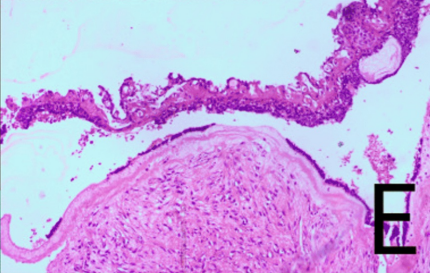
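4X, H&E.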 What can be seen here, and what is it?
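A strip of cystic epithelium runs across the upper part, separated by a clear space from the underlying connective-tissue wall. The epithelium shows a dark basal row of cells with looser suprabasal cells above it, with a small cyst-like space at one end. The connective tissue below contains spindle-shaped cells, and just beneath its thin surface lining lies a pale, glassy pink band.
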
